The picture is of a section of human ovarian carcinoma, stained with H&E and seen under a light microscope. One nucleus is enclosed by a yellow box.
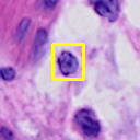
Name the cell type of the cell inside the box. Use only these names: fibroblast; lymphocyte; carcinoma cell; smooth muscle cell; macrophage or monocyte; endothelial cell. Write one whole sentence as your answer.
The cell inside the box appears to be a lymphocyte.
